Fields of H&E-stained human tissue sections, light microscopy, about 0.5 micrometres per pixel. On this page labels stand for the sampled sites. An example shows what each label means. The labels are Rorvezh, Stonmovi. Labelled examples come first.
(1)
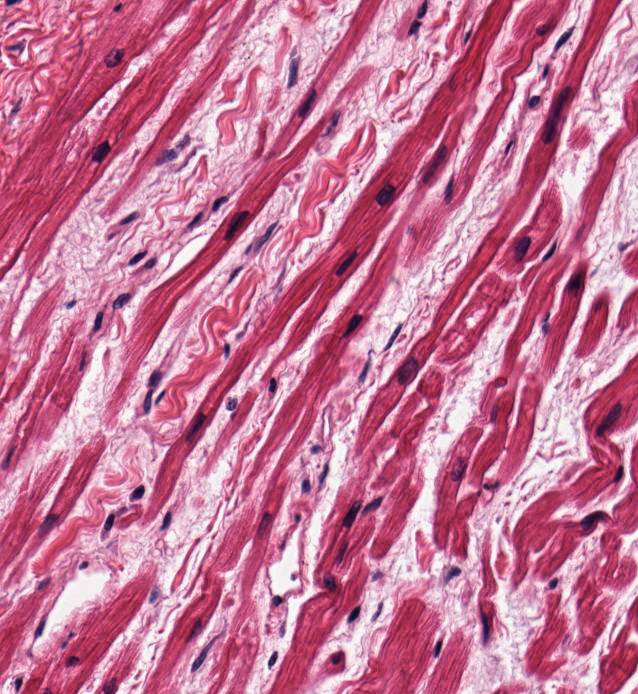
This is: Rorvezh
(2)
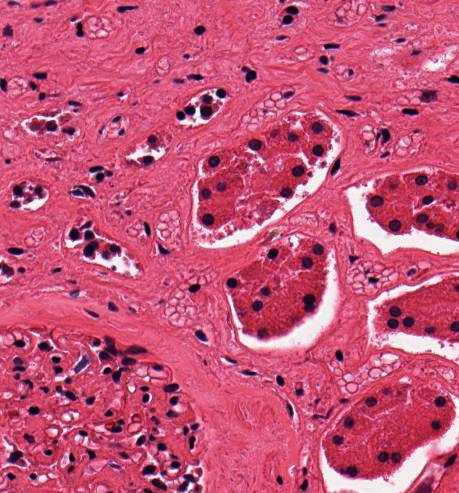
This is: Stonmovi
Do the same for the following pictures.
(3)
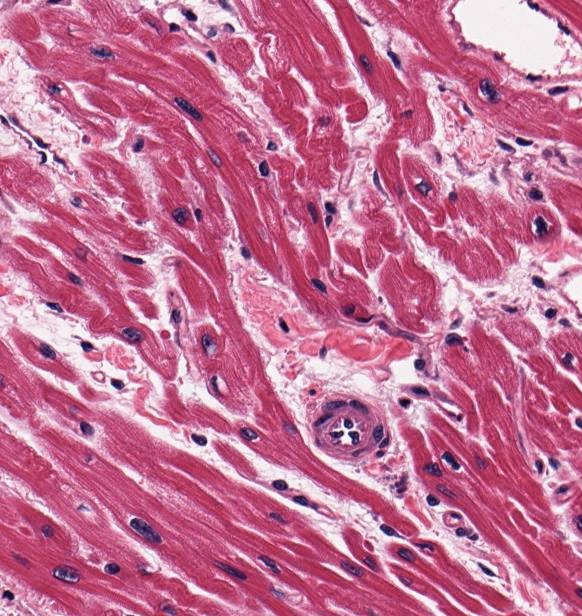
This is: Rorvezh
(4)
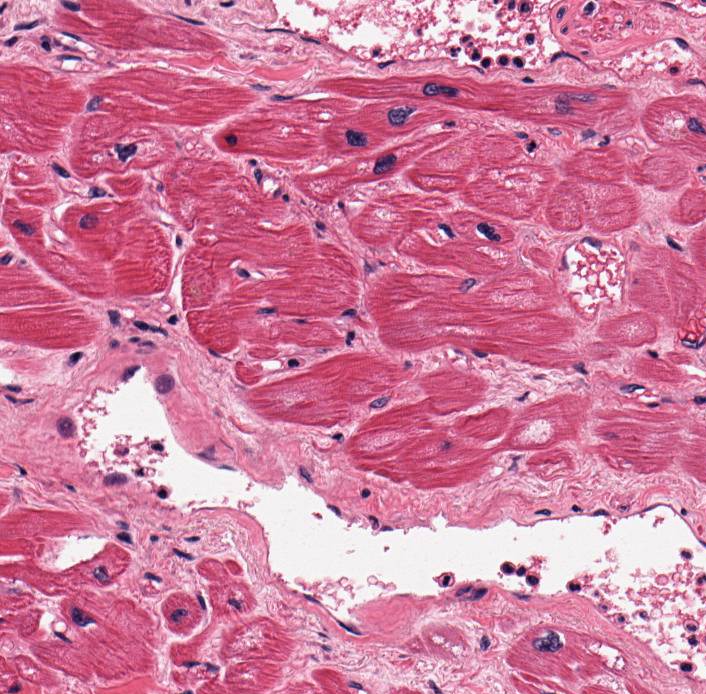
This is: Rorvezh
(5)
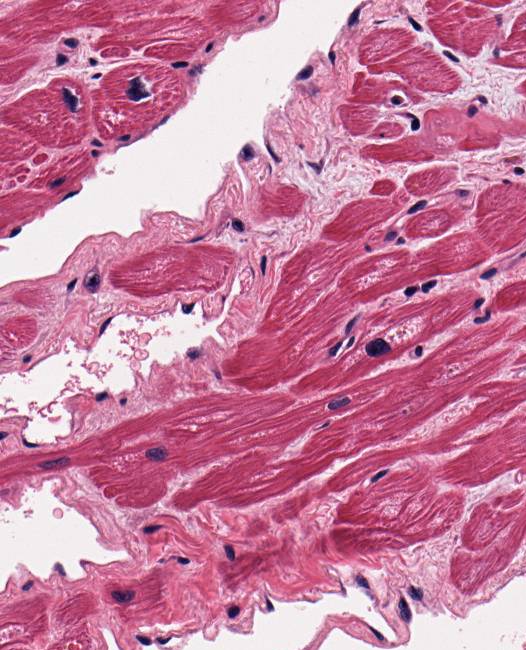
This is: Rorvezh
